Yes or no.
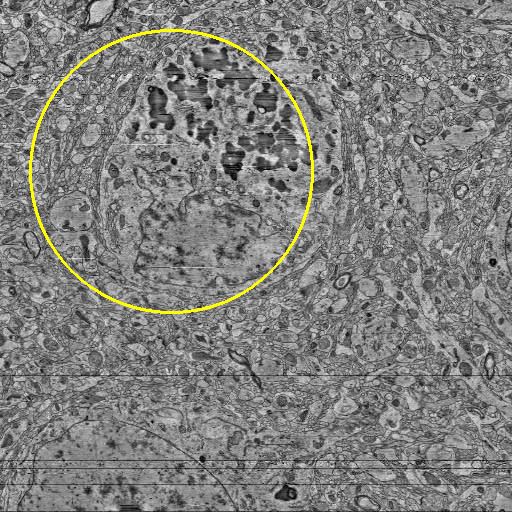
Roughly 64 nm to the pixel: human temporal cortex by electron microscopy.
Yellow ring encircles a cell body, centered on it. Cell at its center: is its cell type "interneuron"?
yes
